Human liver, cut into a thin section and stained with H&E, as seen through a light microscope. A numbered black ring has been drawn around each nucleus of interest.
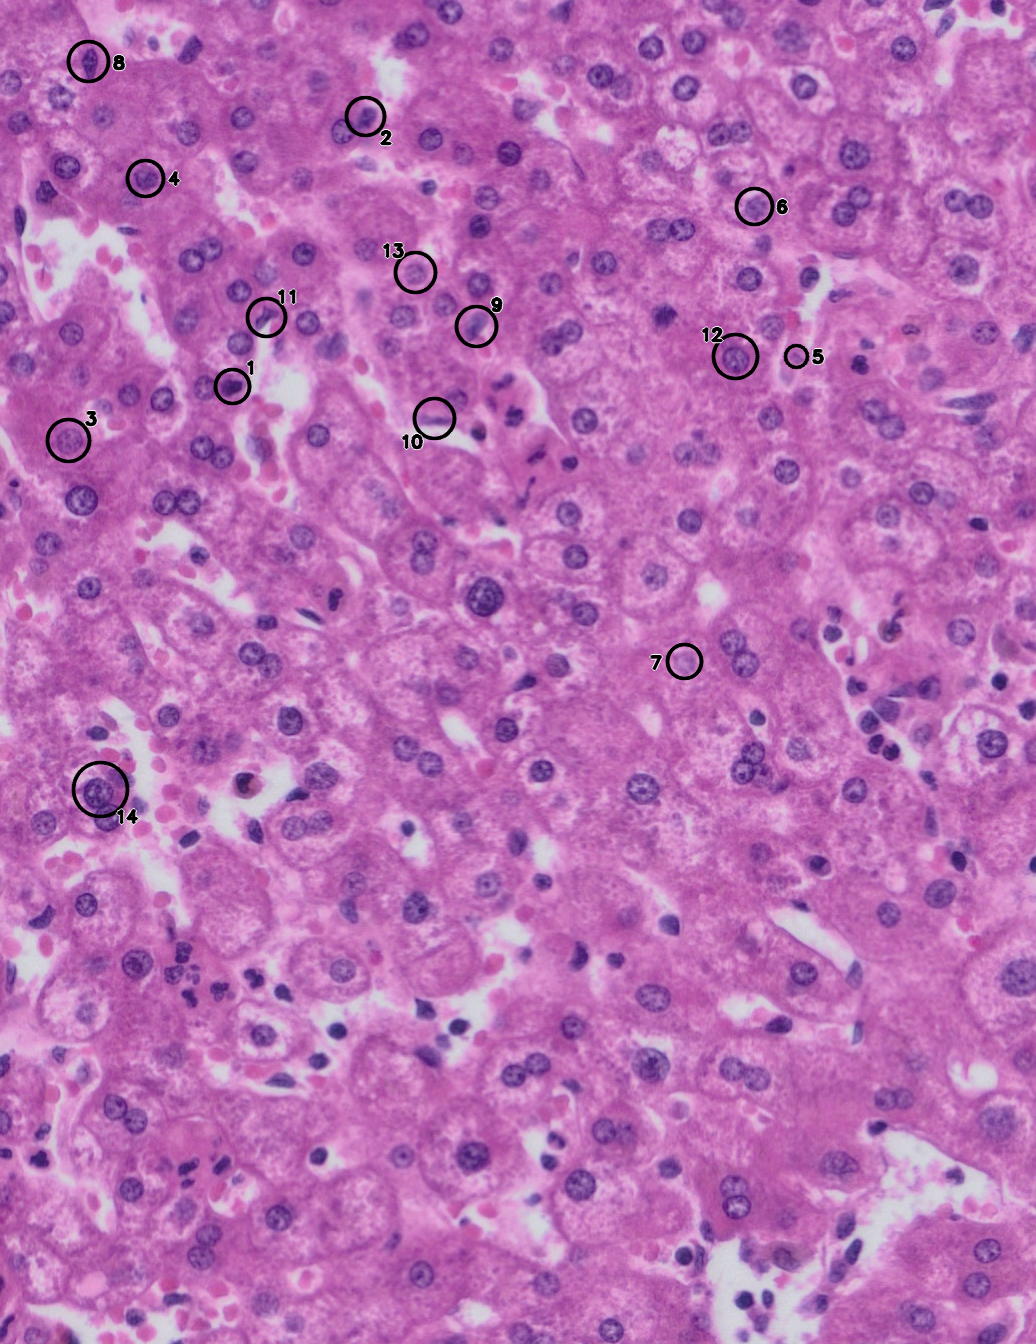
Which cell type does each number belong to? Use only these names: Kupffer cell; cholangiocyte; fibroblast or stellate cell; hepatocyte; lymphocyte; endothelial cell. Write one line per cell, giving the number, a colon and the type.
1: fibroblast or stellate cell
2: fibroblast or stellate cell
3: hepatocyte
4: hepatocyte
5: Kupffer cell
6: hepatocyte
7: hepatocyte
8: fibroblast or stellate cell
9: endothelial cell
10: Kupffer cell
11: endothelial cell
12: hepatocyte
13: hepatocyte
14: hepatocyte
